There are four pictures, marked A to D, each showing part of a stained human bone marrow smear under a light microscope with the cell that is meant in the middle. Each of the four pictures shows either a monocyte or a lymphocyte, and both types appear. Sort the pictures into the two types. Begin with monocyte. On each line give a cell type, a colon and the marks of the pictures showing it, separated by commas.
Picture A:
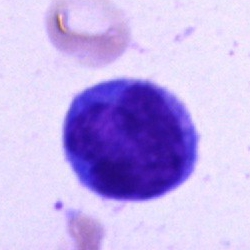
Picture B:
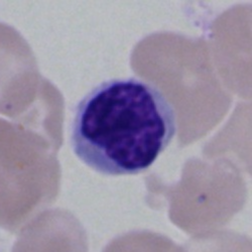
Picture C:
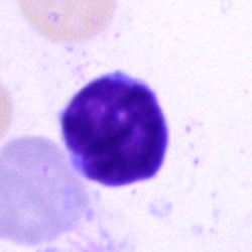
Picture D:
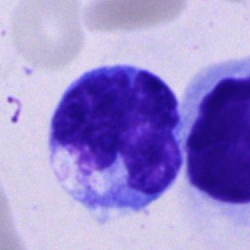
monocyte: A, D
lymphocyte: B, C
